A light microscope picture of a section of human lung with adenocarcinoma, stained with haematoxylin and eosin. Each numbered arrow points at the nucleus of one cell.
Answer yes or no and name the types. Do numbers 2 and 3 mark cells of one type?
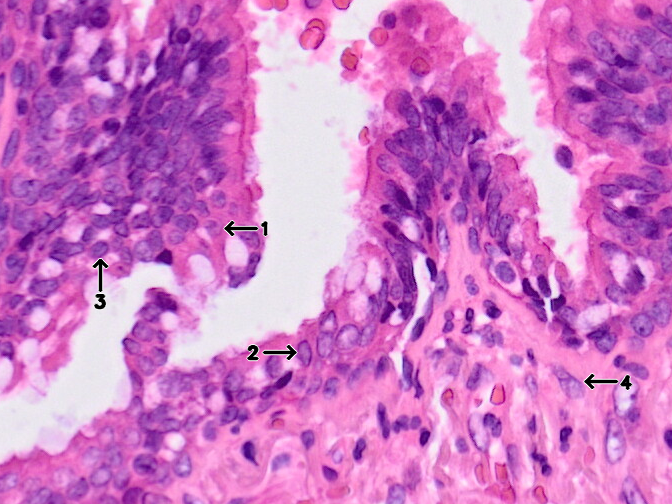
Yes, in short, cells 2 and 3 are both ciliated epithelial cells.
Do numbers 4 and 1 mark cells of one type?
No: cell 4 is a fibroblast, while cell 1 is a ciliated epithelial cell.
